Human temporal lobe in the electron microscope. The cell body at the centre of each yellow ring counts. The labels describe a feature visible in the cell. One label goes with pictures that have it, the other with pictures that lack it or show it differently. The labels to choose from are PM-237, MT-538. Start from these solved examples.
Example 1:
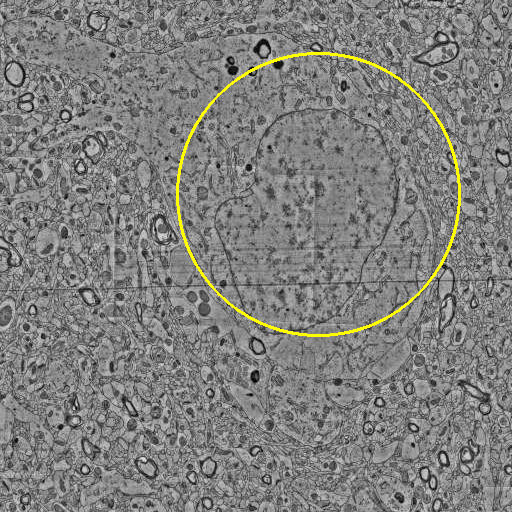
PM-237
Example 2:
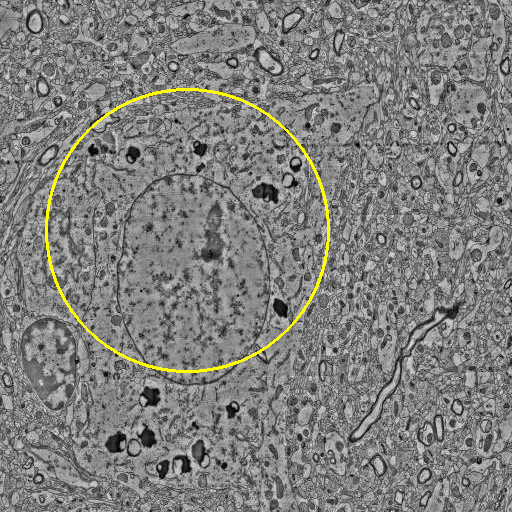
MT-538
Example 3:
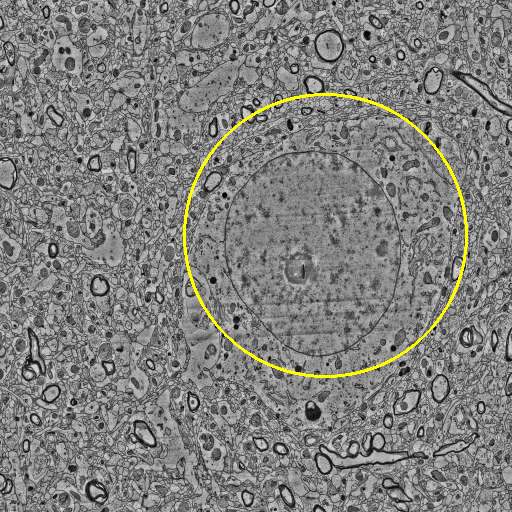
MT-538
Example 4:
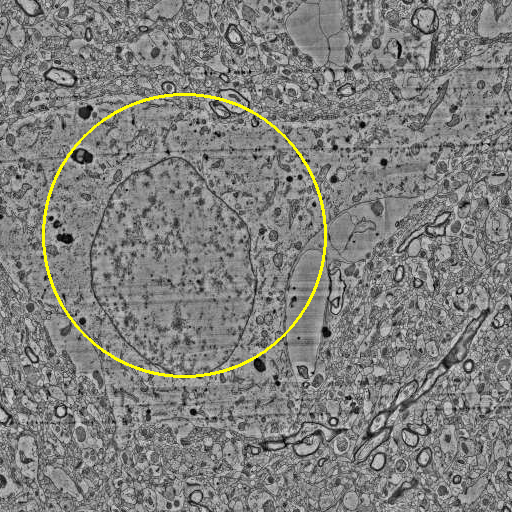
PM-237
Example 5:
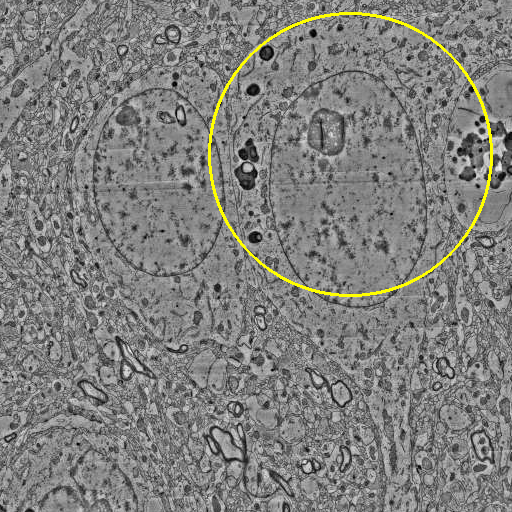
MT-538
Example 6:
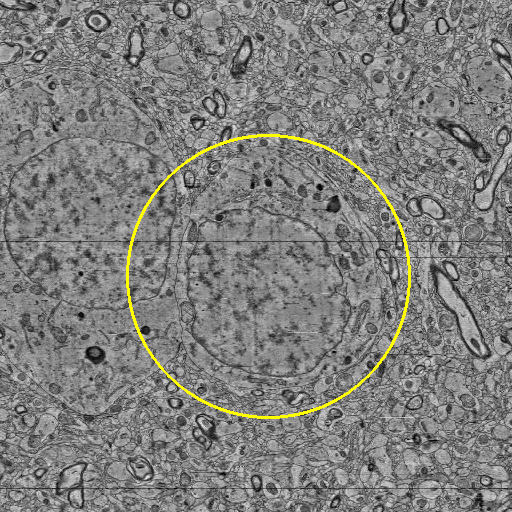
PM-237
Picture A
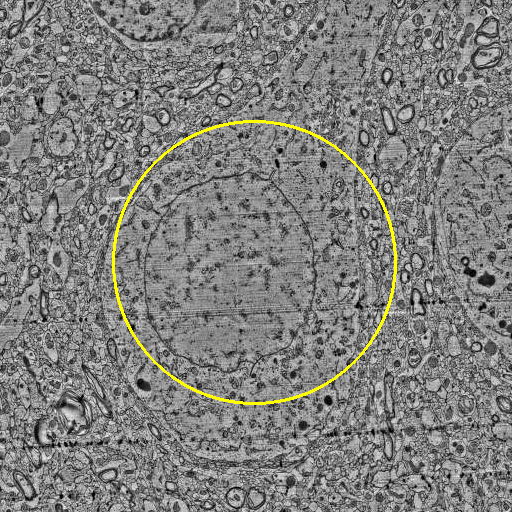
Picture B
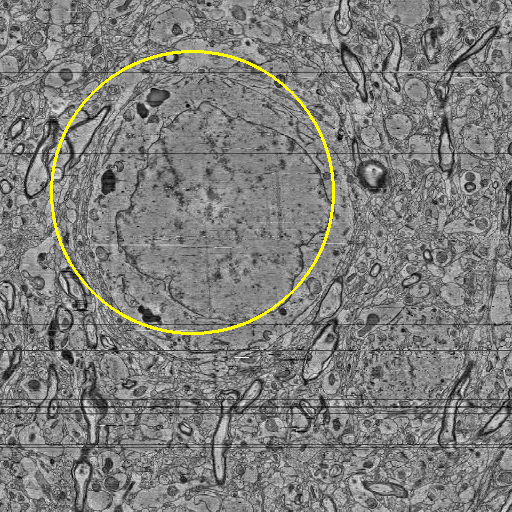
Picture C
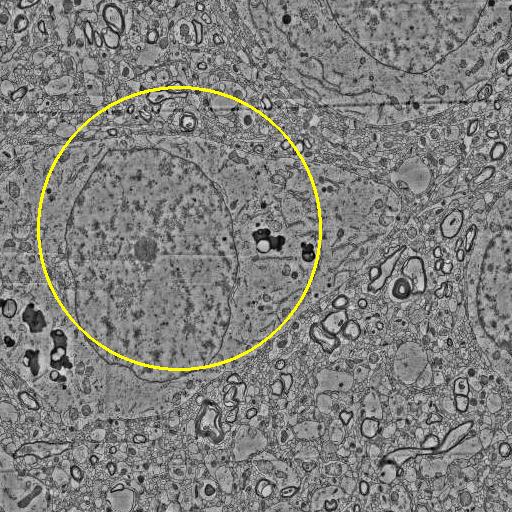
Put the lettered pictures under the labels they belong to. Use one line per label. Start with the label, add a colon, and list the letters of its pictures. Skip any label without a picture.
PM-237: A, B
MT-538: C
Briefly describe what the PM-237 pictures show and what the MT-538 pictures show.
PM-237, no nucleolus seen; MT-538, nucleolus seen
